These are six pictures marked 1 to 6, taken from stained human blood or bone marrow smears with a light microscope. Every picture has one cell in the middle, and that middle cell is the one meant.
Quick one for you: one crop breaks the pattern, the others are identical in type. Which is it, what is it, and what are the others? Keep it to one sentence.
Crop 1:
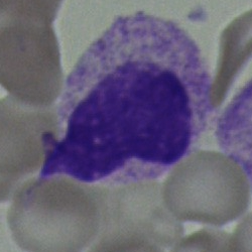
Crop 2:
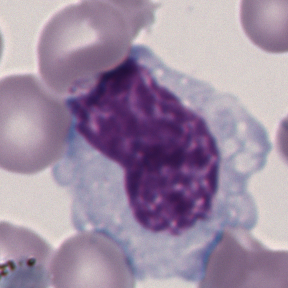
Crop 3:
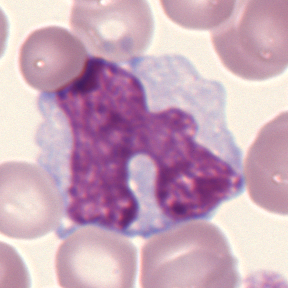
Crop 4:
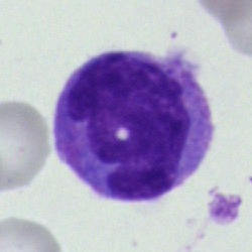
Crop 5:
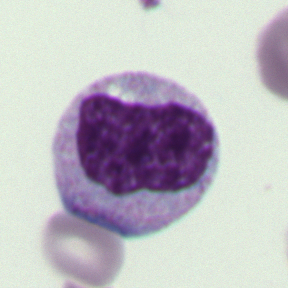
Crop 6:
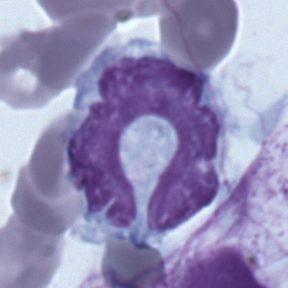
While crop 1 shows a myelocyte, the other crops all show monocytes.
